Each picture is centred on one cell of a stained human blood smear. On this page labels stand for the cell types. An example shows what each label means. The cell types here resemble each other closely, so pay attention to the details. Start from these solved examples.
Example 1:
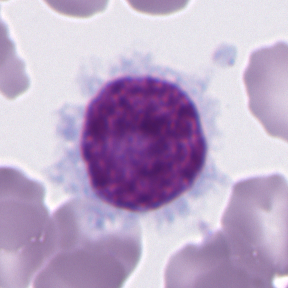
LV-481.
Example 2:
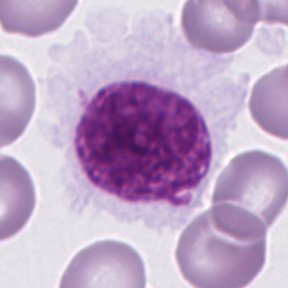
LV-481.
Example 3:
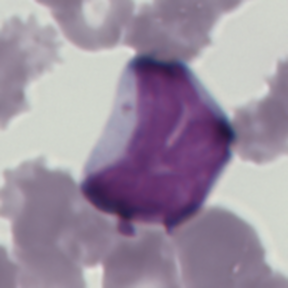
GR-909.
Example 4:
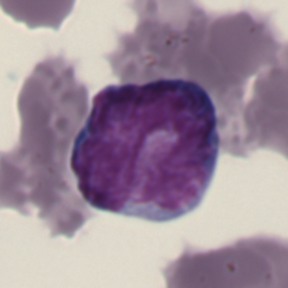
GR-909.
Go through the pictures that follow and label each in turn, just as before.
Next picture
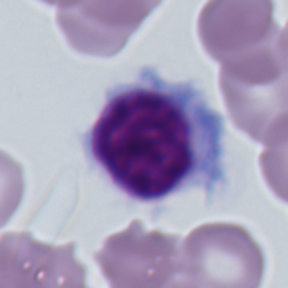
LV-481.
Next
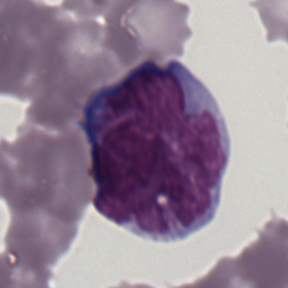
GR-909.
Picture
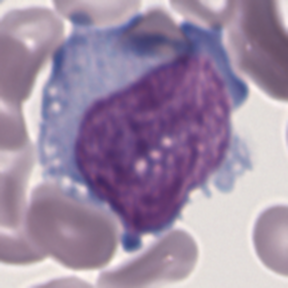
GR-909.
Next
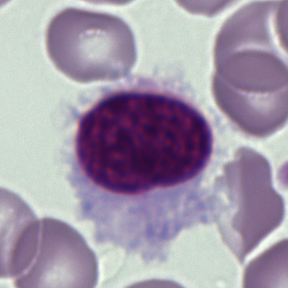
LV-481.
